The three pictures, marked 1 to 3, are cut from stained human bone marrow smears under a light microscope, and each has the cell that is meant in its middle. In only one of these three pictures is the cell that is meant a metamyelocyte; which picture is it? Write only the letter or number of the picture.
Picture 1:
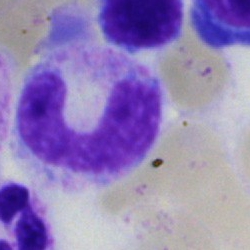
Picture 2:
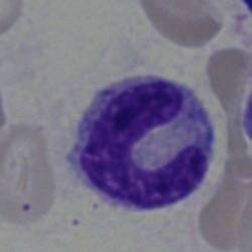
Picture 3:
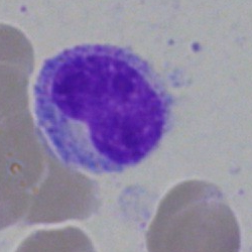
3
